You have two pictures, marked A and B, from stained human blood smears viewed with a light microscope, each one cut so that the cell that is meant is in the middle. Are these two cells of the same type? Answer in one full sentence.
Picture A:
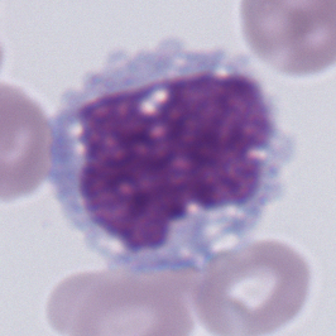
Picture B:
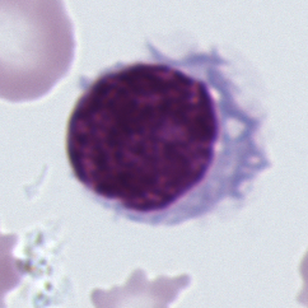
No, the types are not the same, since picture A shows a monocyte and picture B a hairy cell.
